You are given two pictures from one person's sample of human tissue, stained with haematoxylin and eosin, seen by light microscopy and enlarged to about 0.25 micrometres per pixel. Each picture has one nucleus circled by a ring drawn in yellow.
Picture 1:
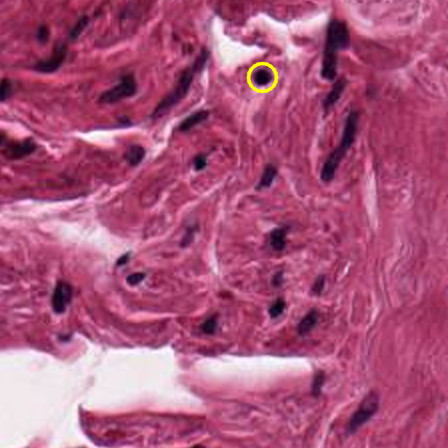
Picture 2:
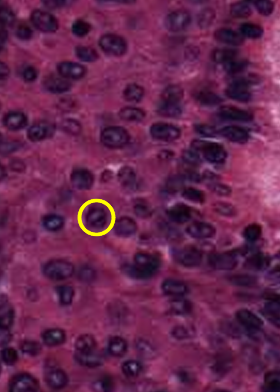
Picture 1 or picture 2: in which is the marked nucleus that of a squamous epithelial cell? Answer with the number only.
2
